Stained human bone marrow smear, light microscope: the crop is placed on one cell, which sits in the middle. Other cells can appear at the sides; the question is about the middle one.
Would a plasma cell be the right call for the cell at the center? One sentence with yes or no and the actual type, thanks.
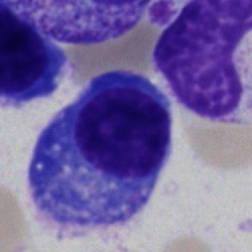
Yes, the cell occupying the center is a plasma cell.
